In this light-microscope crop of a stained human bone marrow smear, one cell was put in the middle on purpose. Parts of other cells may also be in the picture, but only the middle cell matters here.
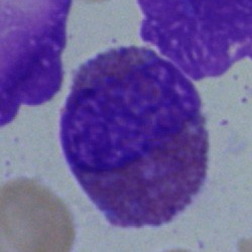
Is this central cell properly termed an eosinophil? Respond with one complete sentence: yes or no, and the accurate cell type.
Yes, the crop is centred on an eosinophil.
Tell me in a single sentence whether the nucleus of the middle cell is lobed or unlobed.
The nucleus amounts to one compact mass with a round, oval or kidney-shaped outline.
